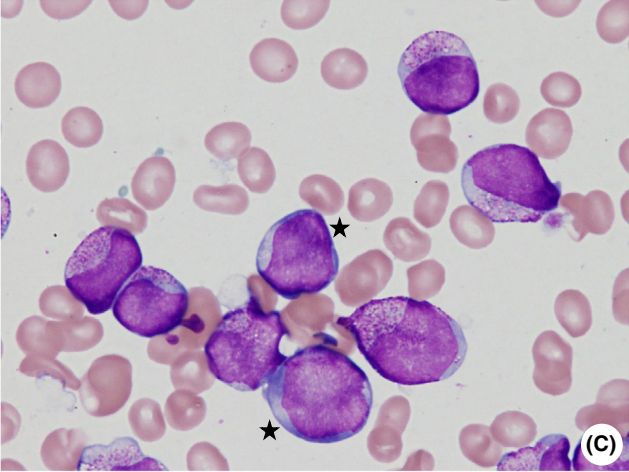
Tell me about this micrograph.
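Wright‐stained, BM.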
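A cluster of large round cells with big purple nuclei and rims of blue cytoplasm sits among pink red blood cells. Most carry purple granules heaped at one pole of the cytoplasm, while a few have a clean blue rim without visible granules. Nuclei show fine chromatin and fill much of each cell.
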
